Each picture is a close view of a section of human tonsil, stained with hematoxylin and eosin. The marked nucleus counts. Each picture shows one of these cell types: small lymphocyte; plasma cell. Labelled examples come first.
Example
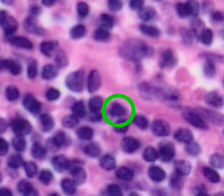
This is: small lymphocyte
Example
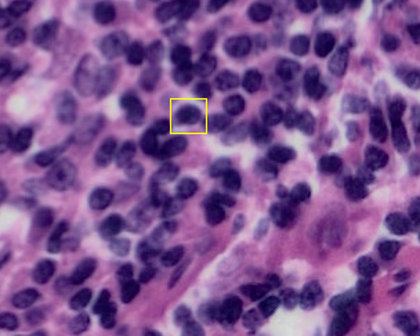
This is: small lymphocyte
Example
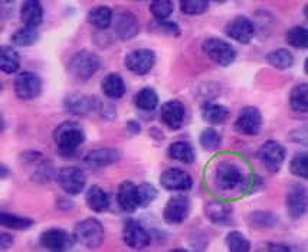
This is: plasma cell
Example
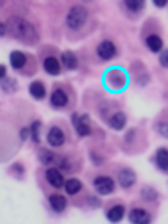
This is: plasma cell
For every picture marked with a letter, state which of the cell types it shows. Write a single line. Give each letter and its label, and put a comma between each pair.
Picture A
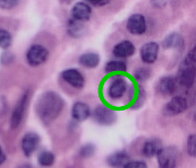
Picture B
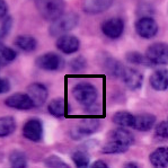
A plasma cell, B plasma cell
